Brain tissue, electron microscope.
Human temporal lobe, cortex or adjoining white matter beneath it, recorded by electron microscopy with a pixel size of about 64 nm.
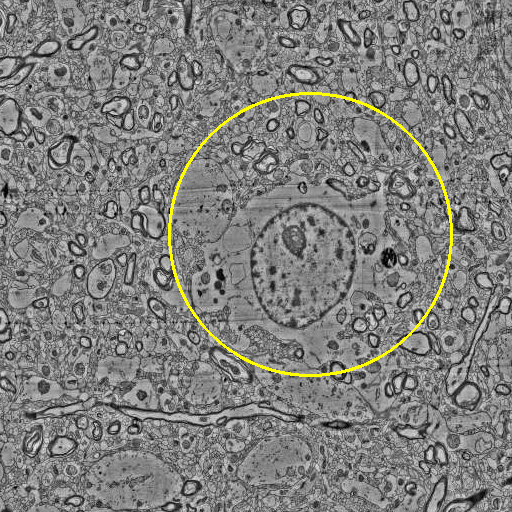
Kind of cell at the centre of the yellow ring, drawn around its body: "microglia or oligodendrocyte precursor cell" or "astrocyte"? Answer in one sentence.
The ring's centre falls on an astrocyte.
